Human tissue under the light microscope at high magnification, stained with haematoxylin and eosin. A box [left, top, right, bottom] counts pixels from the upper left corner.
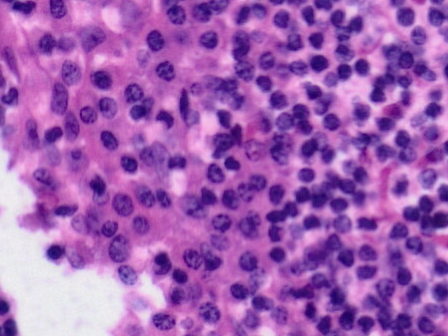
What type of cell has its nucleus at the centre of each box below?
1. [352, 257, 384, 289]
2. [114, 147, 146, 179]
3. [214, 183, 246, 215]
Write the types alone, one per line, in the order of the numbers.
small lymphocyte
plasma cell
plasma cell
